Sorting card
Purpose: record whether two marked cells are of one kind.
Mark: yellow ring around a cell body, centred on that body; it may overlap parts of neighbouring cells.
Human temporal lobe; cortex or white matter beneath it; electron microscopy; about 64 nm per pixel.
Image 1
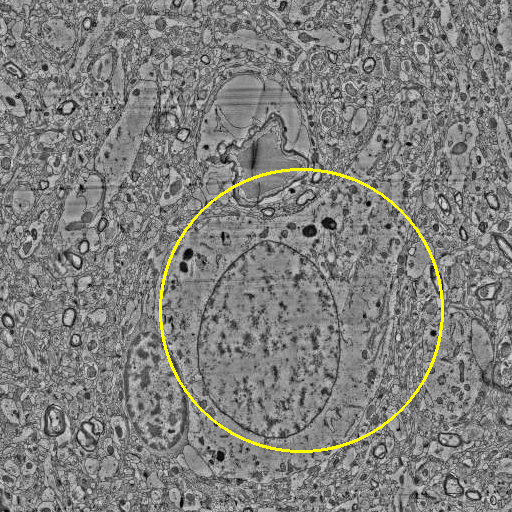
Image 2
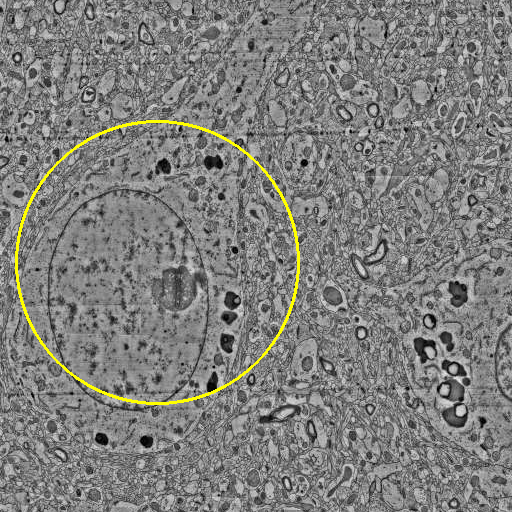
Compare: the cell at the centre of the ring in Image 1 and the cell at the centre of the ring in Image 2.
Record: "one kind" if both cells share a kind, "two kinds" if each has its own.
one kind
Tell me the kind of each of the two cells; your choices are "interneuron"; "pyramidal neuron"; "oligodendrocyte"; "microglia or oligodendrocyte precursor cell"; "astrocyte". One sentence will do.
Each of the two rings surrounds a pyramidal neuron.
